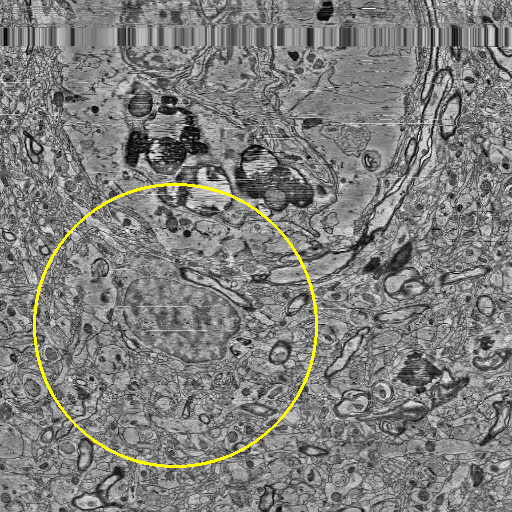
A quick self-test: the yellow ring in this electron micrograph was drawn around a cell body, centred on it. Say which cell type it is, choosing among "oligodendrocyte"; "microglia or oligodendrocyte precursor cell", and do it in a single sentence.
The yellow-ringed cell is an oligodendrocyte.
